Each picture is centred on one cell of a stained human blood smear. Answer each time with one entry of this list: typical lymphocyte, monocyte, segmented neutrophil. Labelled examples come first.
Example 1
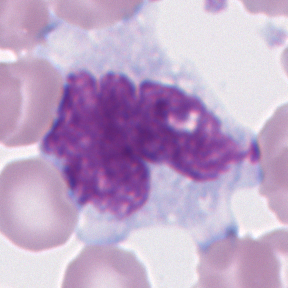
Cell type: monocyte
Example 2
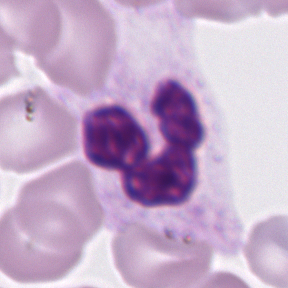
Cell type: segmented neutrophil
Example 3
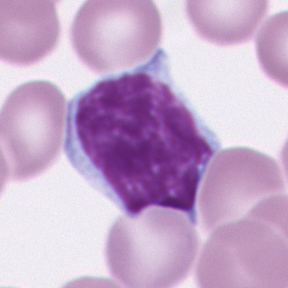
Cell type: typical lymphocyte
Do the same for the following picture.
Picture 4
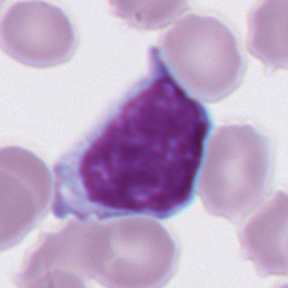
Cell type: typical lymphocyte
